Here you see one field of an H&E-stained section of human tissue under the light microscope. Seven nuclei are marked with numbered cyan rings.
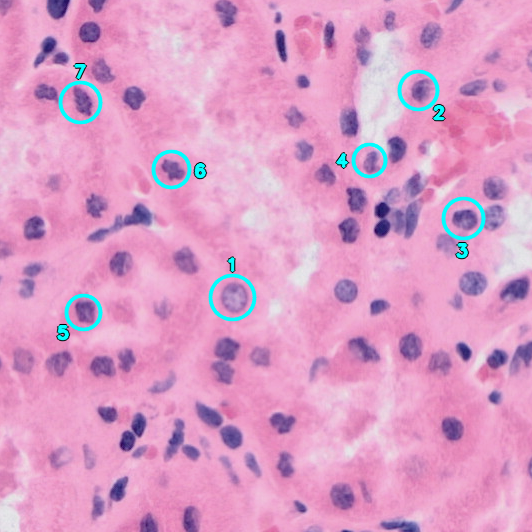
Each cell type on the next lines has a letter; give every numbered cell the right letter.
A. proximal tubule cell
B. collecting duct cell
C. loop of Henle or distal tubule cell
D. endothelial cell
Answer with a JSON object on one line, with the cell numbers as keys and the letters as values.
{"1": "A", "2": "C", "3": "C", "4": "C", "5": "A", "6": "A", "7": "A"}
